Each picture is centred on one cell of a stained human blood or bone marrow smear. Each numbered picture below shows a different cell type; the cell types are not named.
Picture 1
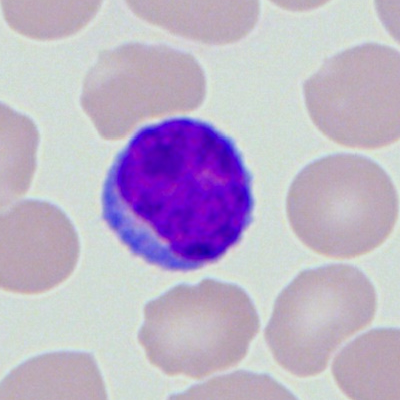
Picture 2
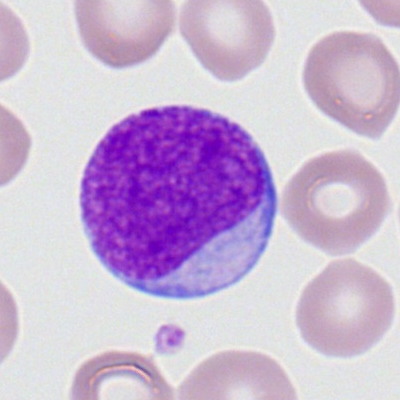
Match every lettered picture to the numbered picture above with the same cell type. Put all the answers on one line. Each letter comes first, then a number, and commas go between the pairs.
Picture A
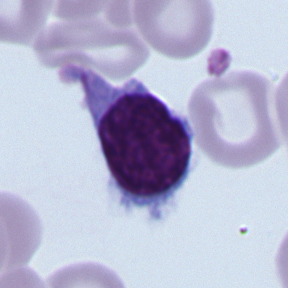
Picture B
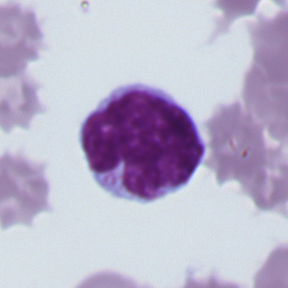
A 1, B 1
